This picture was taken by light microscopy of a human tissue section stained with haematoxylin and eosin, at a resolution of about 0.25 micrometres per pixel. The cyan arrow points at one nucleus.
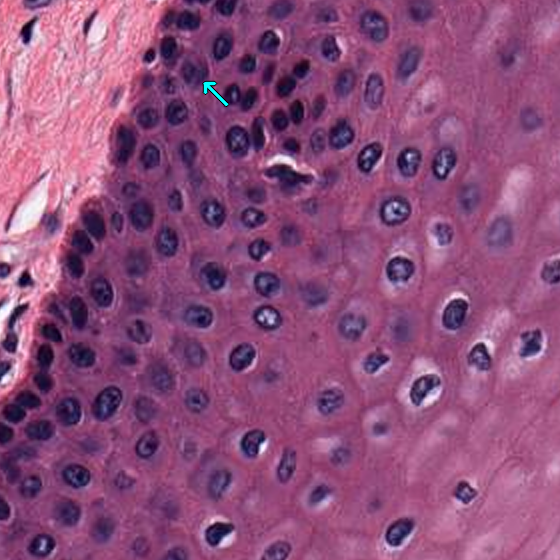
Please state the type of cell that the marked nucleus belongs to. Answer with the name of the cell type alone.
squamous epithelial cell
